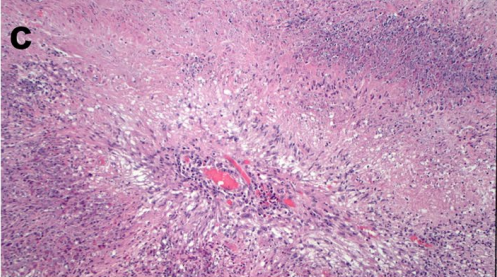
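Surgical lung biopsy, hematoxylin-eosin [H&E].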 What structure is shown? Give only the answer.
Palisading histiocytes.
